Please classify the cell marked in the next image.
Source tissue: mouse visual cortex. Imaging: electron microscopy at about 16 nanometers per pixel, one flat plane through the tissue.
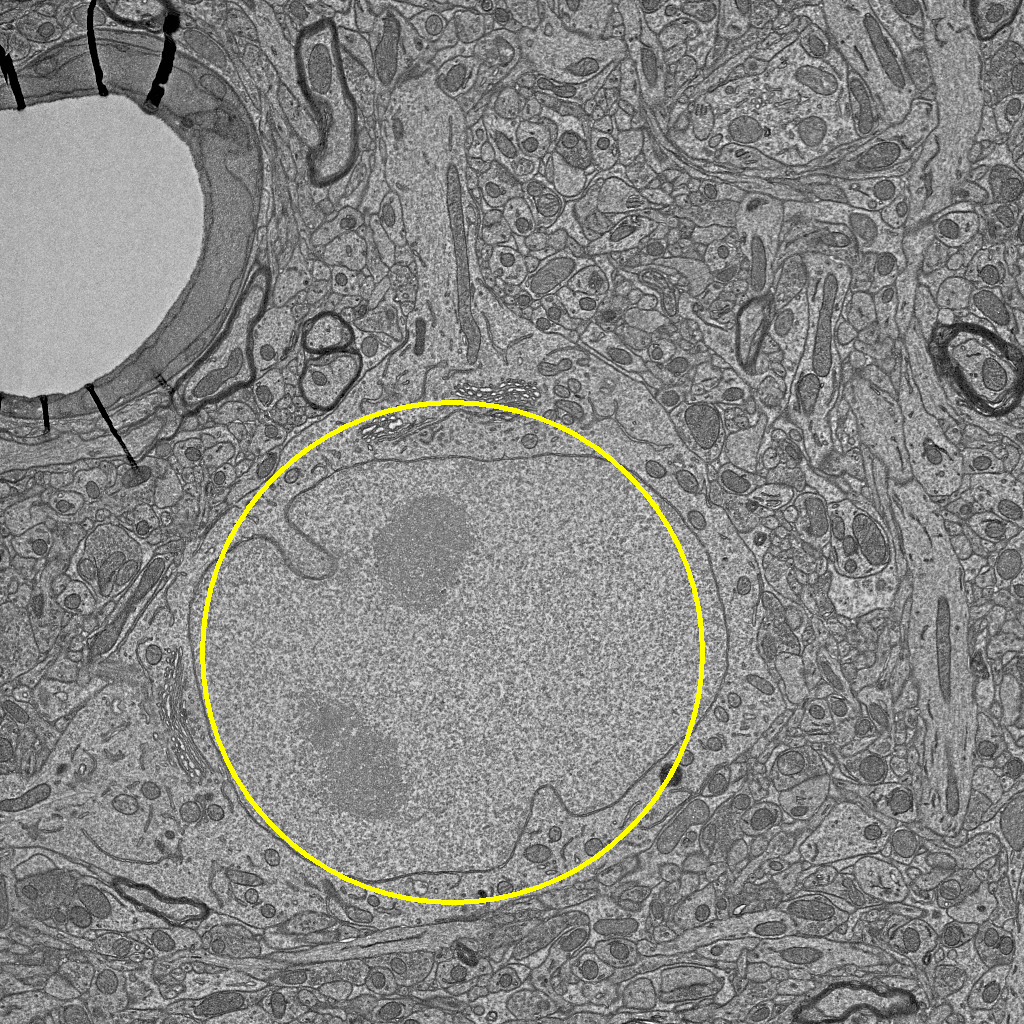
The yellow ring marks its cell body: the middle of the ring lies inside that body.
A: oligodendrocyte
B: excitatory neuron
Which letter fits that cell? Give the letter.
B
